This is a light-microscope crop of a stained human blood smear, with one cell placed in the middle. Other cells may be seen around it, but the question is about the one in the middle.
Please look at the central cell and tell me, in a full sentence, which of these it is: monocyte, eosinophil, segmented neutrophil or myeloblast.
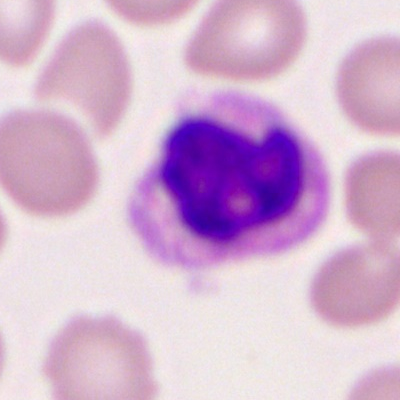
What the crop centres on is a segmented neutrophil.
